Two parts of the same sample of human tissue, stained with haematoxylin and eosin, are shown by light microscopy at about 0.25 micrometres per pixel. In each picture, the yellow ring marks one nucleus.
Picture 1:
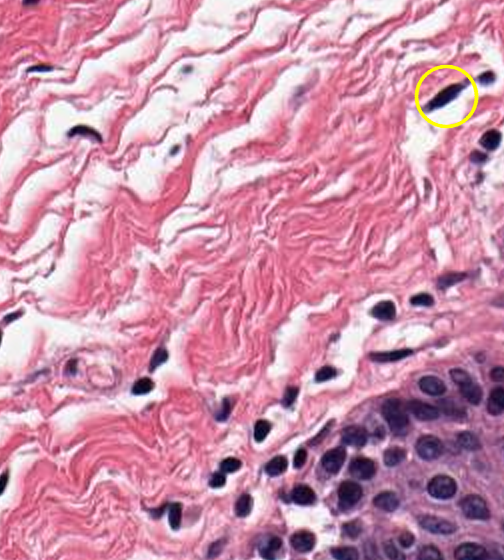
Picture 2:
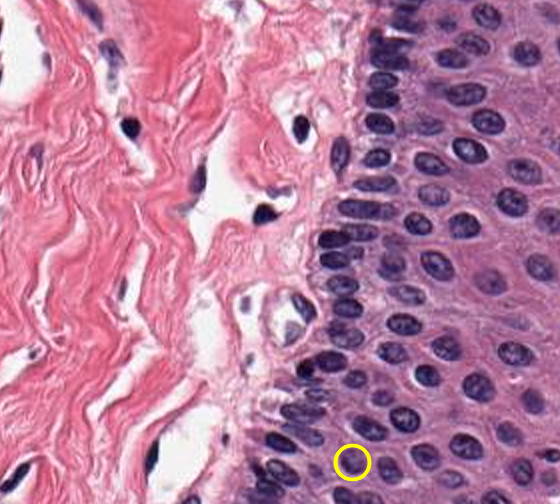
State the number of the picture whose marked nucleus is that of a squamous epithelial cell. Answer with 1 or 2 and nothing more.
2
